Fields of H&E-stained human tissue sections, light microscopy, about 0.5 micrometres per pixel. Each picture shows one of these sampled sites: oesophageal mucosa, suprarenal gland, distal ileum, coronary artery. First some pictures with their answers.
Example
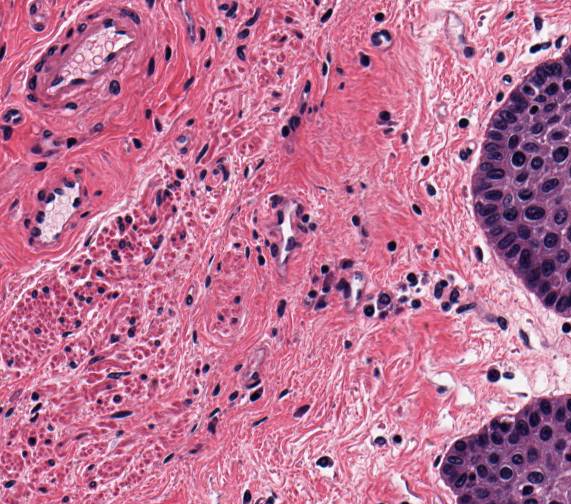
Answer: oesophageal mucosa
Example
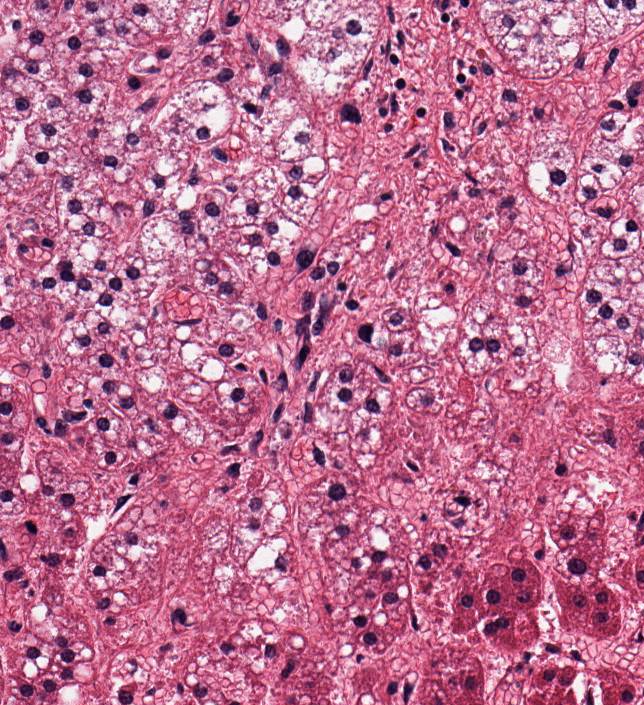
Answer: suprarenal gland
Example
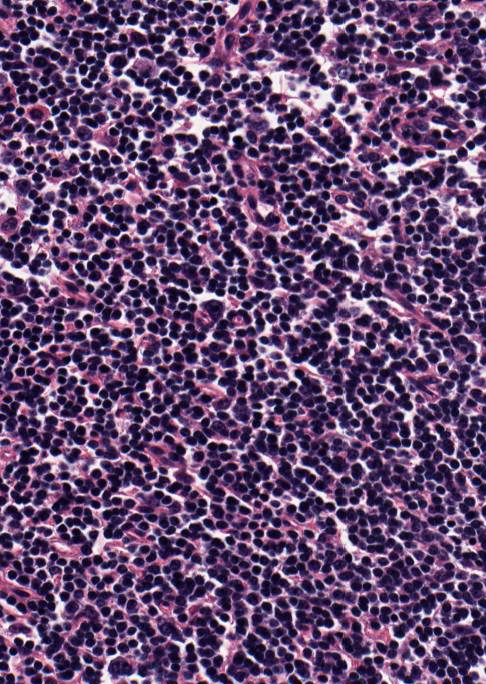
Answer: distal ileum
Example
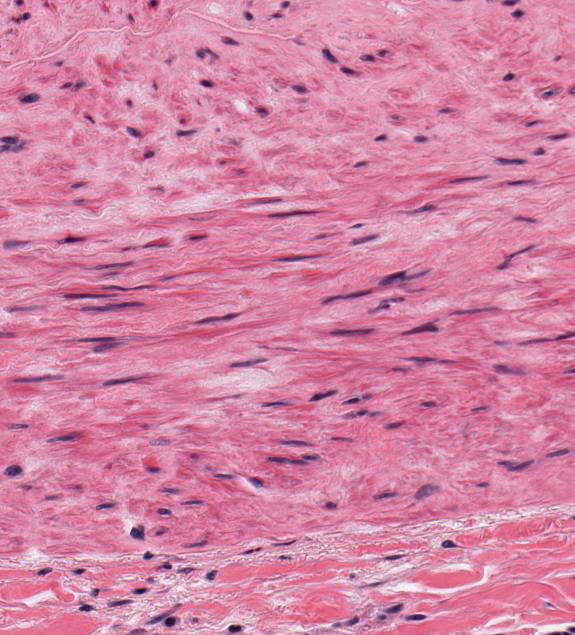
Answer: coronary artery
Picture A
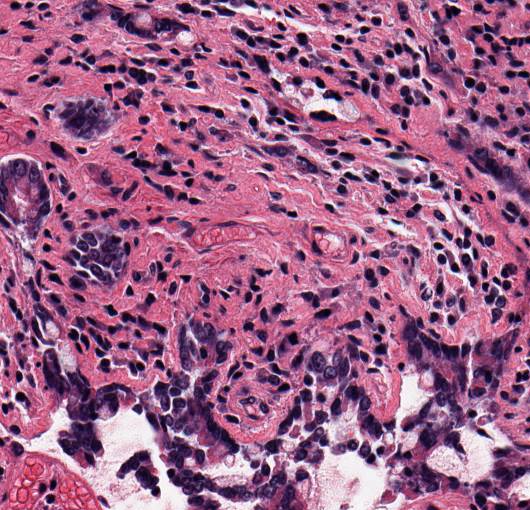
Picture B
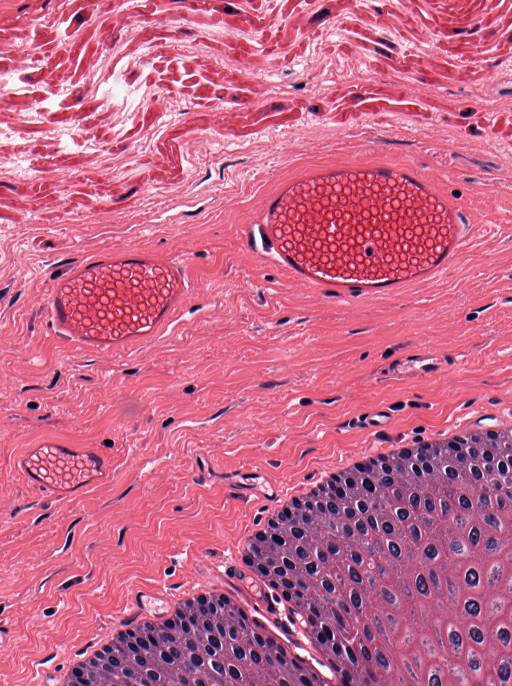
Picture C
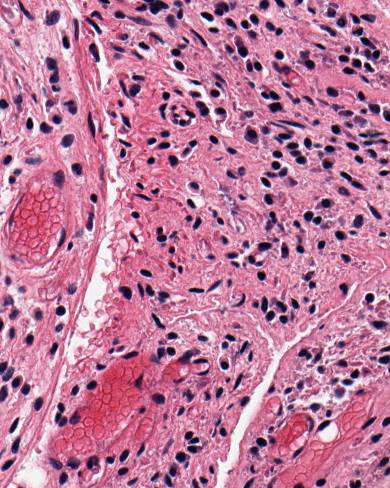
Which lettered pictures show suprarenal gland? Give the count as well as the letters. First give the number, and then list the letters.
0, none of them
